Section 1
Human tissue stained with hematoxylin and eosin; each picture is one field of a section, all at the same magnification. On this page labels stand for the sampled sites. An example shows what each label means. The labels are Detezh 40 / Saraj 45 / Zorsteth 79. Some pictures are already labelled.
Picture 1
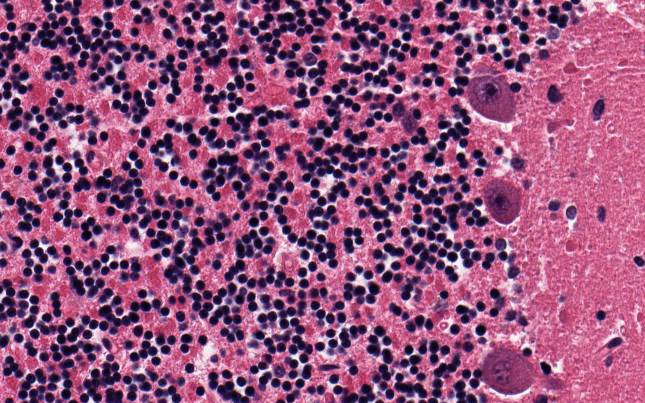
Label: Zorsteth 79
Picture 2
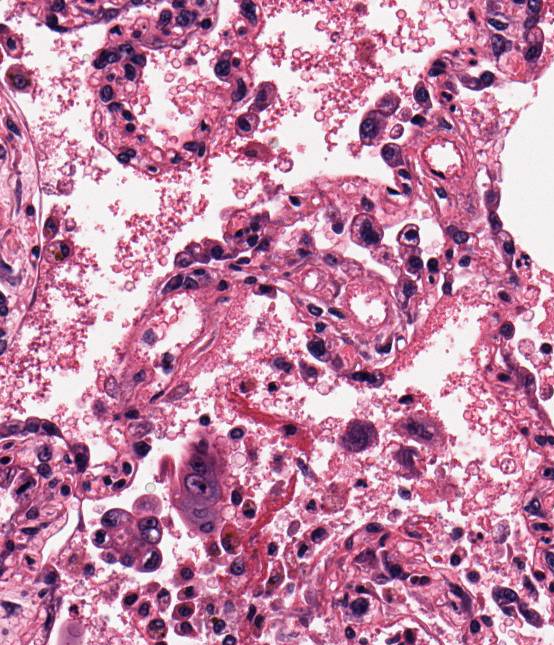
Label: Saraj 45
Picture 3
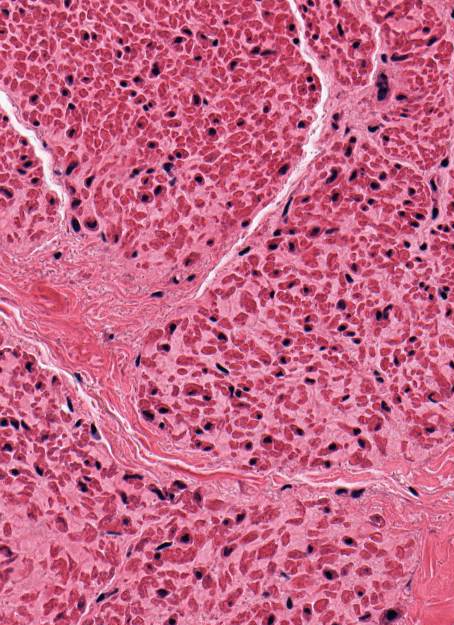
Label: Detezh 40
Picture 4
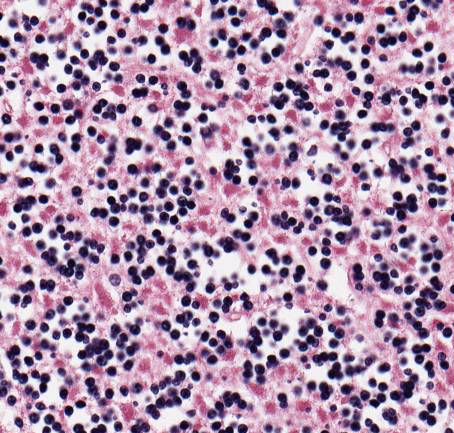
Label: Zorsteth 79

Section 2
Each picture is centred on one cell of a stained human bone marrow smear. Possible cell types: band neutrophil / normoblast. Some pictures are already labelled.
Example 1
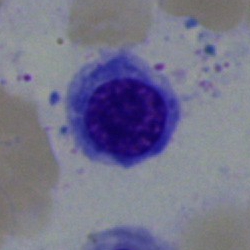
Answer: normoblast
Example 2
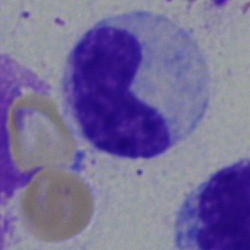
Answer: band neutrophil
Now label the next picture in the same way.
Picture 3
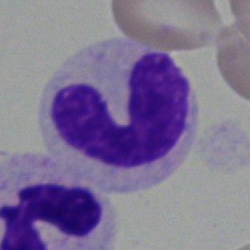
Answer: band neutrophil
